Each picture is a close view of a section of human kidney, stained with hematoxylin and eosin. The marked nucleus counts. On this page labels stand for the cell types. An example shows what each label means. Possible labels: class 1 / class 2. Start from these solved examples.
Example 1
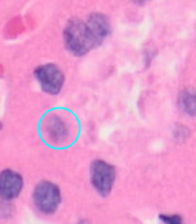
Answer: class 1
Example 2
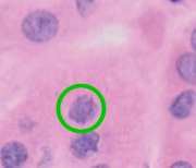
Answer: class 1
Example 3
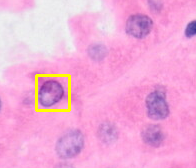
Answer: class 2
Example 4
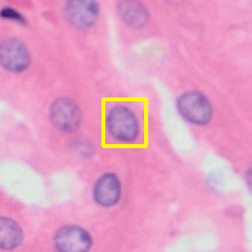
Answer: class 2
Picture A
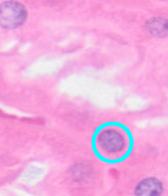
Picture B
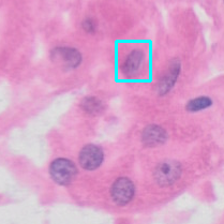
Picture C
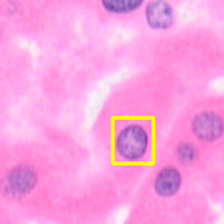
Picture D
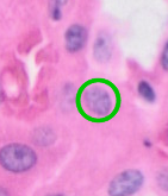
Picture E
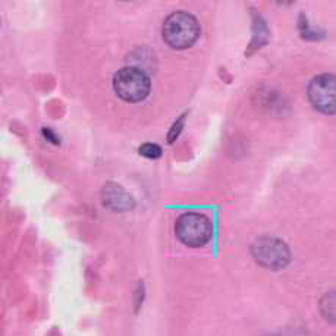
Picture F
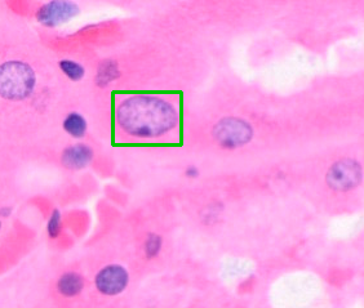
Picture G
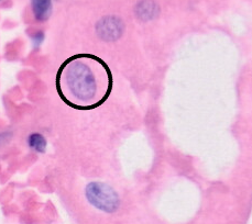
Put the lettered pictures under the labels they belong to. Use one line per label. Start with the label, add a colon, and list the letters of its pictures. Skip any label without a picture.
class 1: D
class 2: A, B, C, E, F, G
